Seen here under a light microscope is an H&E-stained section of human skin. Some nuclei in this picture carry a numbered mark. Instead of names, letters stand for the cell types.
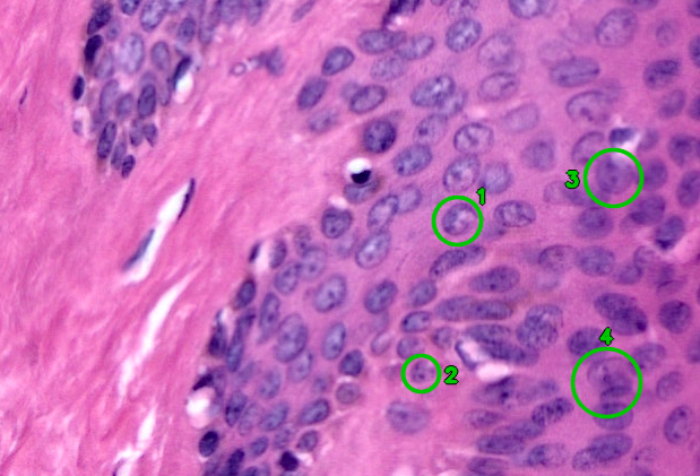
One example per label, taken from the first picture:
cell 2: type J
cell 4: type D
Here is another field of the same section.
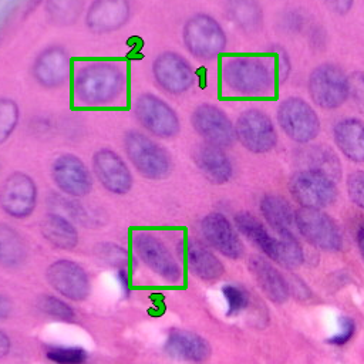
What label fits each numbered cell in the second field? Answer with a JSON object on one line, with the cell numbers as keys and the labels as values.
{"1": "type D", "2": "type D", "3": "type J"}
